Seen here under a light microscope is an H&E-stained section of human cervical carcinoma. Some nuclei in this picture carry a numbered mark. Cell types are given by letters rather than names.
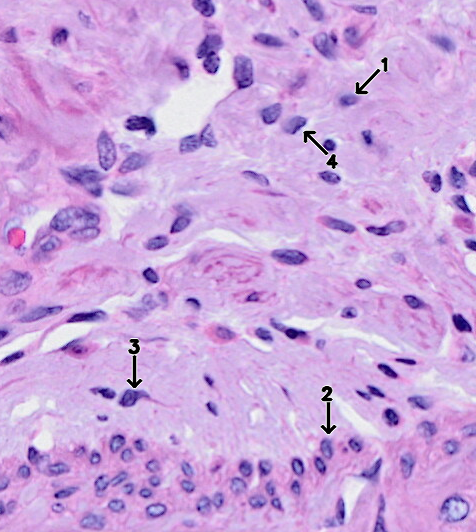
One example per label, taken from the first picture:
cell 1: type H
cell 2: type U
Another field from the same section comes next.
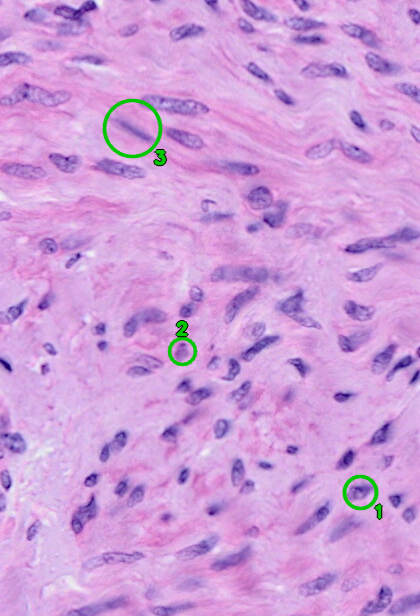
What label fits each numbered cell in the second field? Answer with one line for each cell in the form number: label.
1: type H
2: type U
3: type U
